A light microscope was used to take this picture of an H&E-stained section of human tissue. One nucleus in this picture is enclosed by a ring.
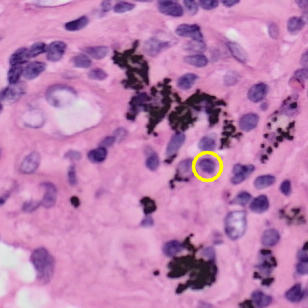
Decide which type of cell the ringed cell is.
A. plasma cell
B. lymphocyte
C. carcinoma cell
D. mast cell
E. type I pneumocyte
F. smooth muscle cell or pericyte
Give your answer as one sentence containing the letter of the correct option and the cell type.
The item is answered by option B: the ringed cell is a lymphocyte.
